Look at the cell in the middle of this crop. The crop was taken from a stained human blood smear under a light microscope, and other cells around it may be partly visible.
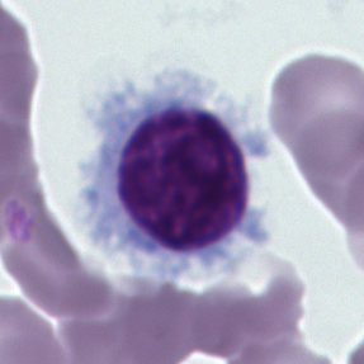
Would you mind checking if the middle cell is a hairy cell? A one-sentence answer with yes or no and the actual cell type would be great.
Yes, a hairy cell is present in the middle of the crop.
